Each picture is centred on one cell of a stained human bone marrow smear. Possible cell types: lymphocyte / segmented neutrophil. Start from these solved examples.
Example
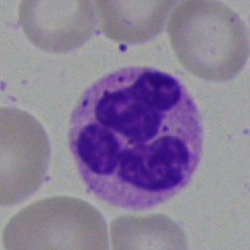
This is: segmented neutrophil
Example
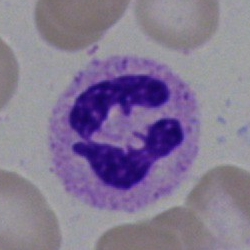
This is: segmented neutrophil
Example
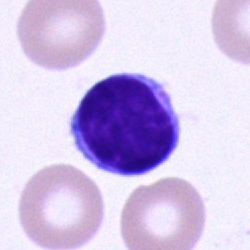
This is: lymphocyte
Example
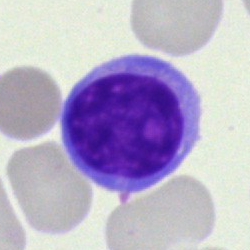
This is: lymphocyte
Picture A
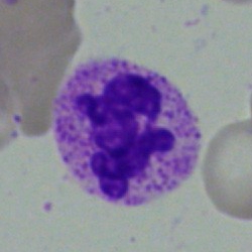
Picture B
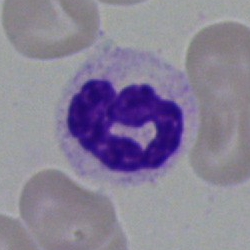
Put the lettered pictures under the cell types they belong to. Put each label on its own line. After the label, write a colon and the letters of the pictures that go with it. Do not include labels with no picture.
segmented neutrophil: A, B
